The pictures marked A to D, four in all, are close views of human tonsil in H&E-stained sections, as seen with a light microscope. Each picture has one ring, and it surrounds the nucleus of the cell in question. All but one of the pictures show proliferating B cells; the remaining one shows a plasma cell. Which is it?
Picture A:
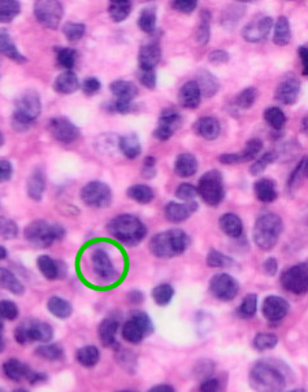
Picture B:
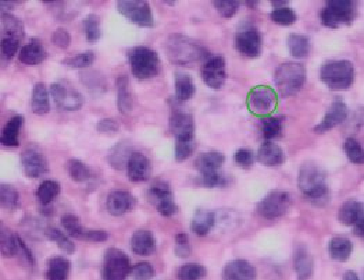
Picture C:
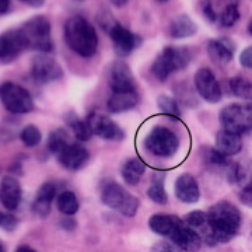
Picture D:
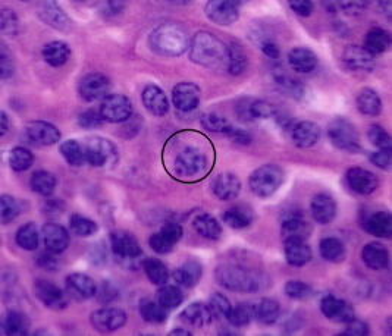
D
